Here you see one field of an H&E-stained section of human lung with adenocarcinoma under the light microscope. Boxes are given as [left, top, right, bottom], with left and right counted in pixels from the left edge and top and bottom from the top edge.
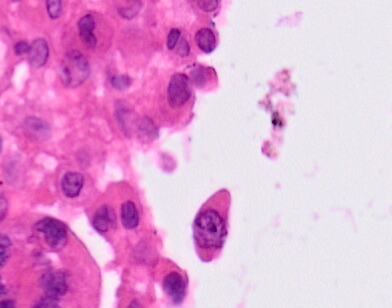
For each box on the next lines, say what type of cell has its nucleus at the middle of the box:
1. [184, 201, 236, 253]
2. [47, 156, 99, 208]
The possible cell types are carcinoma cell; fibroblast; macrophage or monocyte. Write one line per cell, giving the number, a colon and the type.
1: carcinoma cell
2: macrophage or monocyte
